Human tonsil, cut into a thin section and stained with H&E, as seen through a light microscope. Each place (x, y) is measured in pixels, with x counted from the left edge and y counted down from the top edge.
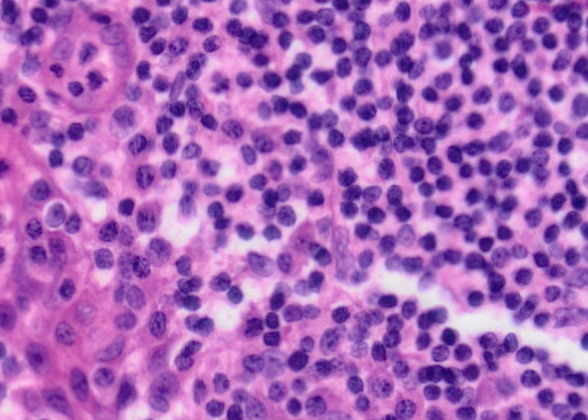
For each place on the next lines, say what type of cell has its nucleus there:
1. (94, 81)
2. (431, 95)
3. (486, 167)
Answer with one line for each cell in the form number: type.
1: endothelial cell
2: small lymphocyte
3: small lymphocyte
